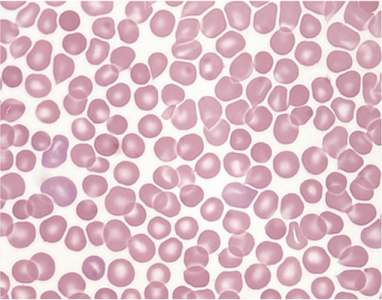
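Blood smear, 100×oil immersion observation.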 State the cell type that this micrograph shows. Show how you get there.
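Densely packed round pink cells without nuclei. Many cells show a paler central area. Cells are of fairly uniform size. So: erythrocytes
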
